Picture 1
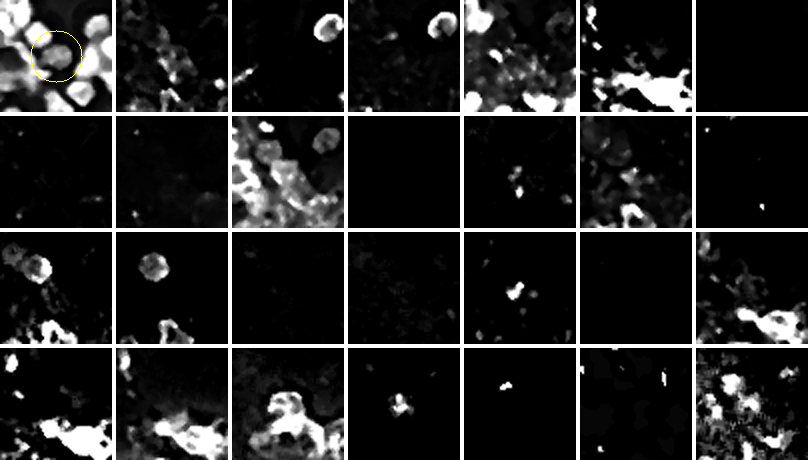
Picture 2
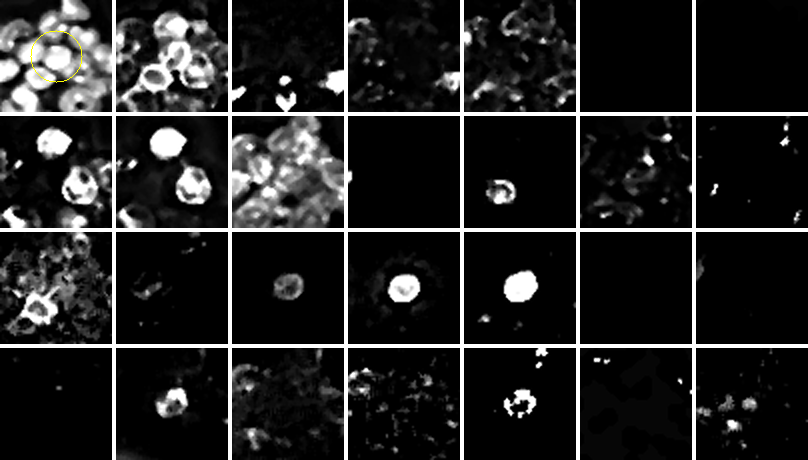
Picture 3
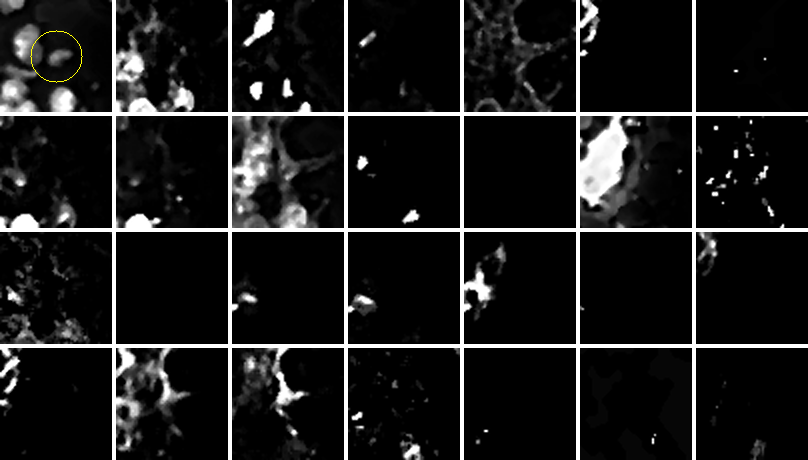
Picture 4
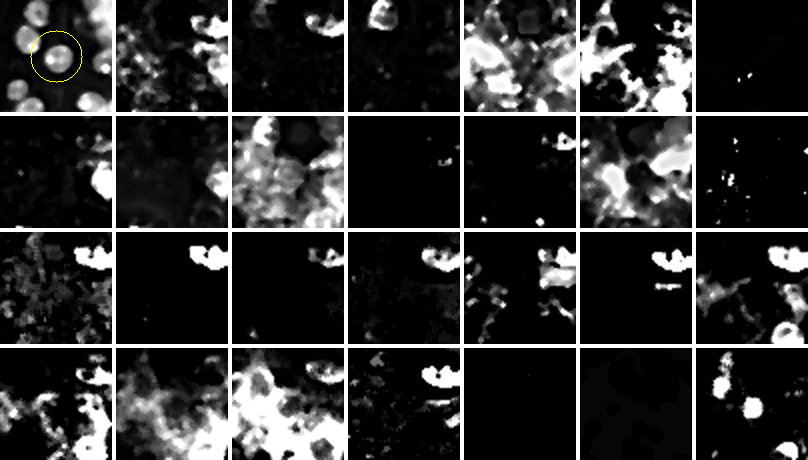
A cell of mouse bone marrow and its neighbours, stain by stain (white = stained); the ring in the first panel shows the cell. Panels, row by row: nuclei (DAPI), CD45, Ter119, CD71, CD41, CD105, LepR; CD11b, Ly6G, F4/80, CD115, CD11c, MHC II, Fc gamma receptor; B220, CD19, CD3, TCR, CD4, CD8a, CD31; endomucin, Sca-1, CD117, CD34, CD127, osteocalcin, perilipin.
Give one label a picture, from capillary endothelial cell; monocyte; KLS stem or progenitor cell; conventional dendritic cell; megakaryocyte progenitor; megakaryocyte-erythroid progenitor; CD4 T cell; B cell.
1: megakaryocyte-erythroid progenitor
2: CD4 T cell
3: KLS stem or progenitor cell
4: KLS stem or progenitor cell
